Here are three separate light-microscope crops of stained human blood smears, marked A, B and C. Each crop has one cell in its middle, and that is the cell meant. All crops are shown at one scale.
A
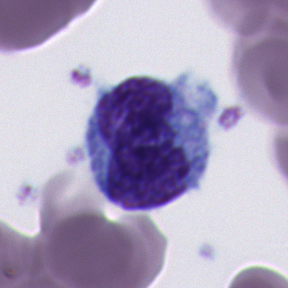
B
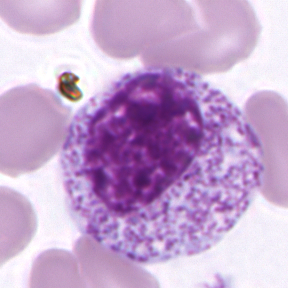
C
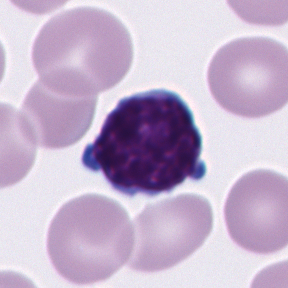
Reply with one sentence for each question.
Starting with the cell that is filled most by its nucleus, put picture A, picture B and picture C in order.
From the most filled to the least, the order is C, A, B.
